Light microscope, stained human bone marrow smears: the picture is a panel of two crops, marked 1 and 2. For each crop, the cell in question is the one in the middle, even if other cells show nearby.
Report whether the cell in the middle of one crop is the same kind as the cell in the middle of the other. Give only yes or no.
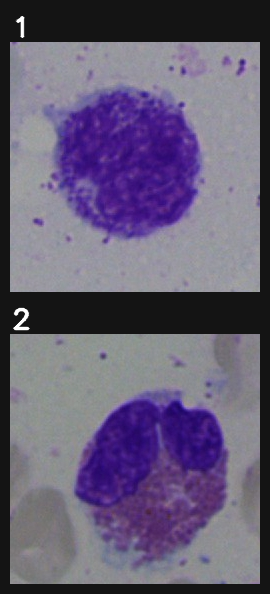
no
